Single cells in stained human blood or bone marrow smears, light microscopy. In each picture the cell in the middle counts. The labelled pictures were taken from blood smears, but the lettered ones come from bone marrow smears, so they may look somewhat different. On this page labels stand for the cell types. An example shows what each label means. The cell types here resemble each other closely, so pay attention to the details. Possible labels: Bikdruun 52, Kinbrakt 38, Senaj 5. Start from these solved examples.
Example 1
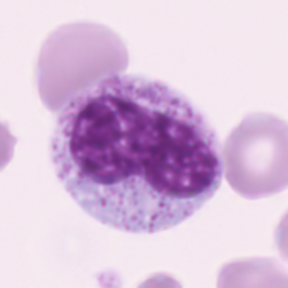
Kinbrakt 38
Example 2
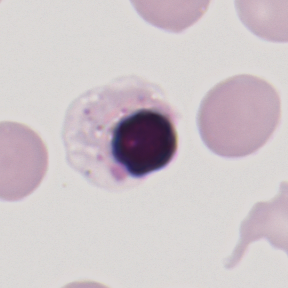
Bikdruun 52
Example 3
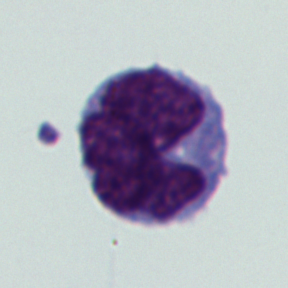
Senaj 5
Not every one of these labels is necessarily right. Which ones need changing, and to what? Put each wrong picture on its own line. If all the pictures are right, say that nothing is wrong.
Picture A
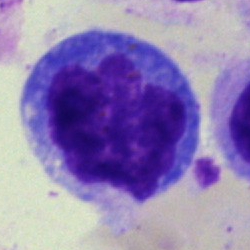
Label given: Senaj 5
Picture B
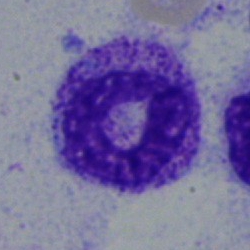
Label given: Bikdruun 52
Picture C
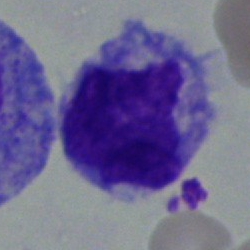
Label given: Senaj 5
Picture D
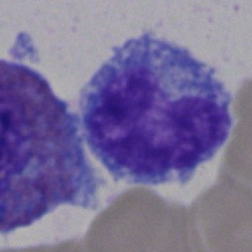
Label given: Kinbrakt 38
B is labelled Bikdruun 52; correct label: Kinbrakt 38
D is labelled Kinbrakt 38; correct label: Senaj 5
